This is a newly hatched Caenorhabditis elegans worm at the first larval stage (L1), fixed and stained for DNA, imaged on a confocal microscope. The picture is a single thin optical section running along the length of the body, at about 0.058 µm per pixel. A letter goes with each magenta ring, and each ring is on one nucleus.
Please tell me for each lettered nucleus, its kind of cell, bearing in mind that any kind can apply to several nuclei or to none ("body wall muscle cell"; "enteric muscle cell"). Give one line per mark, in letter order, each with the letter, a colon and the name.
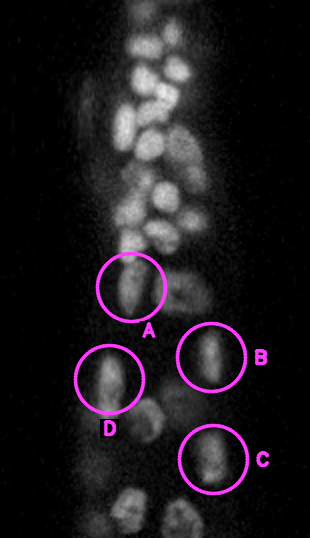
A: enteric muscle cell
B: body wall muscle cell
C: body wall muscle cell
D: body wall muscle cell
